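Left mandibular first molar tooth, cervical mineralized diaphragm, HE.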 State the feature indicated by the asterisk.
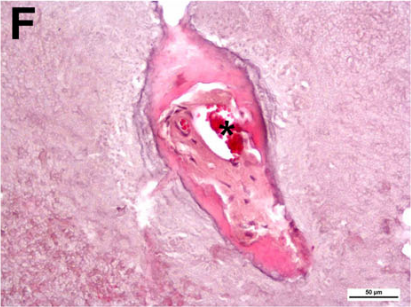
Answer: Blood vessels.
